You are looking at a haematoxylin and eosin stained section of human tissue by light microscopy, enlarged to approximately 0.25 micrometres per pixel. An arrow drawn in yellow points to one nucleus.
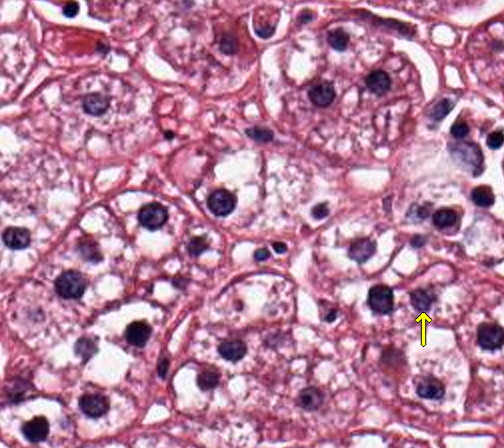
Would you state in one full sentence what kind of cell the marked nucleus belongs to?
The cell that the marked nucleus belongs to is an adrenal cortical cell.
